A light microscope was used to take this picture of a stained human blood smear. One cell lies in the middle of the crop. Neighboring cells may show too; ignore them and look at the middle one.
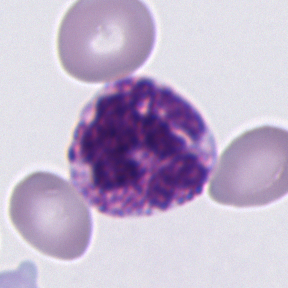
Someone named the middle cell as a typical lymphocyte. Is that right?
no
